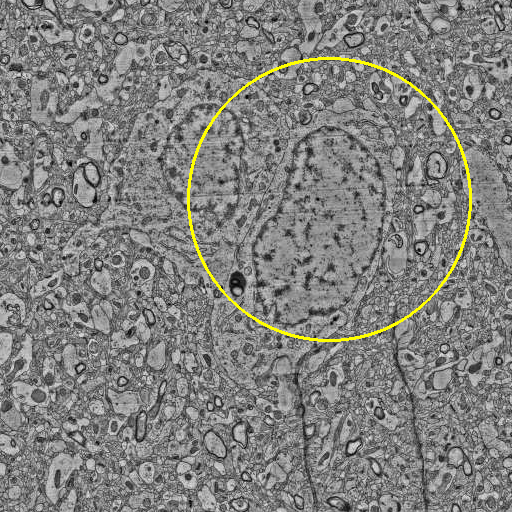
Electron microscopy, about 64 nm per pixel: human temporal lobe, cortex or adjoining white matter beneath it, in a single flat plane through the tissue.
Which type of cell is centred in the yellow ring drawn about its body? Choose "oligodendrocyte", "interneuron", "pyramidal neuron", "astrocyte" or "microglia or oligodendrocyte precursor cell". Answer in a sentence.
The yellow ring surrounds the cell body of an interneuron.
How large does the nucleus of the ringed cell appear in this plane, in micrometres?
The nucleus comes to roughly 13 by 8 micrometres in this plane.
